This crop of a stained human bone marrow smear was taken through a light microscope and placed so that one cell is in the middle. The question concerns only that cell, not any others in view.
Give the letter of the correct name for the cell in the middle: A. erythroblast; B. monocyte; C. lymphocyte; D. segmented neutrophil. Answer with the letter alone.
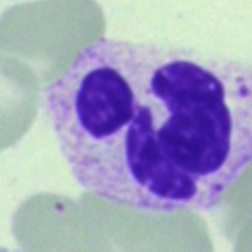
D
